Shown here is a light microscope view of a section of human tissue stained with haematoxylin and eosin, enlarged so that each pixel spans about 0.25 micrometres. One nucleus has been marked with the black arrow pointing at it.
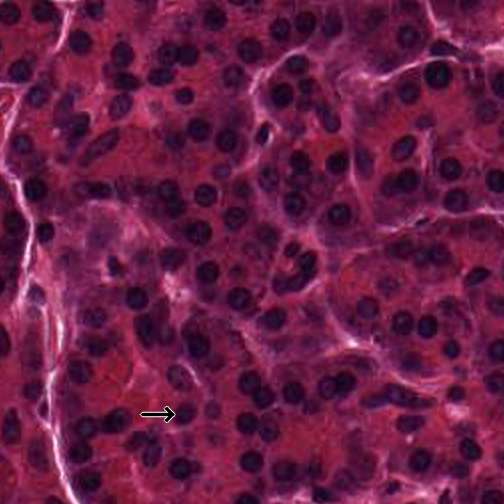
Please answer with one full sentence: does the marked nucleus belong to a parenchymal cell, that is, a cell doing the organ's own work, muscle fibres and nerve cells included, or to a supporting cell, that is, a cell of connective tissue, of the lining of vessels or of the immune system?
The marked nucleus is found in a parenchymal cell, namely a pancreatic acinar cell.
